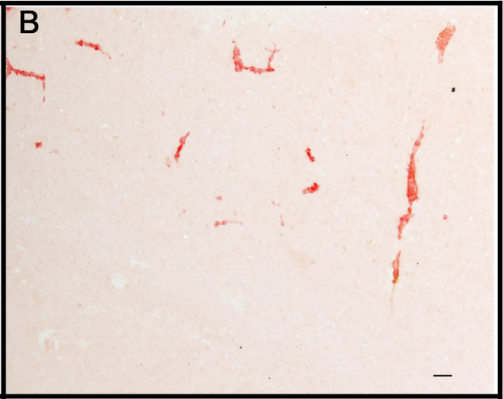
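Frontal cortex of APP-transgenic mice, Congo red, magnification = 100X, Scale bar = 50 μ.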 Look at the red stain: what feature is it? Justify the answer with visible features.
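Red stain follows long narrow tube-like profiles, some branching. Background tissue is pale.
Conclusion: blood vessels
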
